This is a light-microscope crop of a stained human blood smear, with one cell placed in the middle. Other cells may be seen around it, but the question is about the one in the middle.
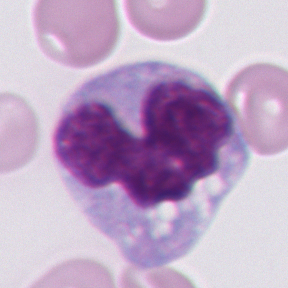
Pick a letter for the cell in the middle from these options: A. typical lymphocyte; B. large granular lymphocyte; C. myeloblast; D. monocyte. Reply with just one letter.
D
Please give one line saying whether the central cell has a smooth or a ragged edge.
Happy to help: the outline is smooth and shows no projections.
